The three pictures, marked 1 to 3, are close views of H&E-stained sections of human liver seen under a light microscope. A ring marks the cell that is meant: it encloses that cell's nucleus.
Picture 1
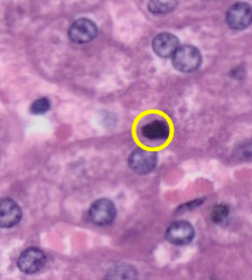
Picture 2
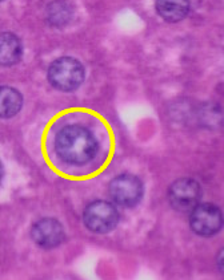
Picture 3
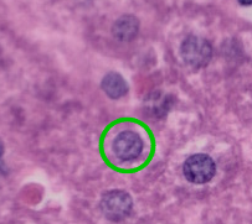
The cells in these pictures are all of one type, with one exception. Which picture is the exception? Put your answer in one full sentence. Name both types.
Picture 1 is the odd one out: it shows a “fibroblast or stellate cell”, while the others show hepatocytes.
